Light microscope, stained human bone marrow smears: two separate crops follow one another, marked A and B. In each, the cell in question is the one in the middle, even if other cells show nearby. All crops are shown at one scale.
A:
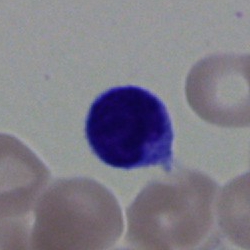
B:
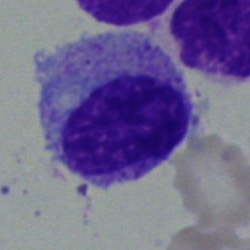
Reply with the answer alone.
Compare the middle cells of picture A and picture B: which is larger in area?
B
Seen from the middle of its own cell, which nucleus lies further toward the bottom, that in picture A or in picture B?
B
